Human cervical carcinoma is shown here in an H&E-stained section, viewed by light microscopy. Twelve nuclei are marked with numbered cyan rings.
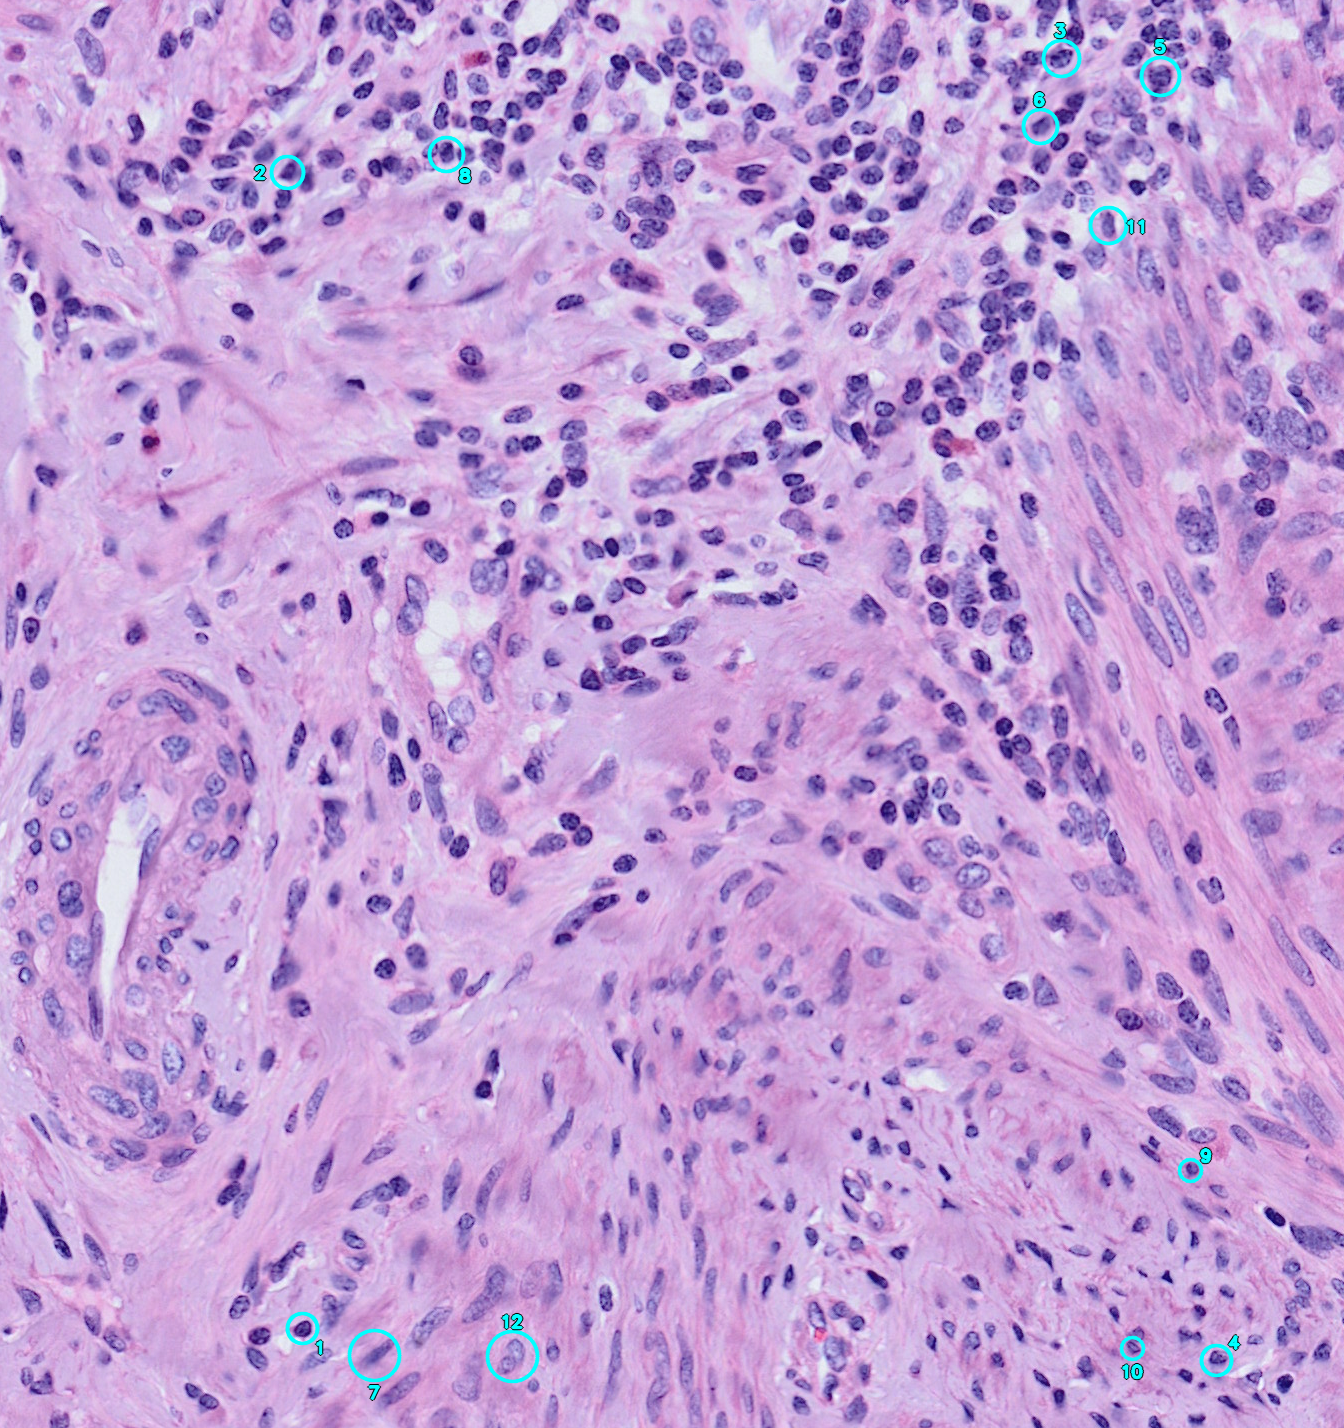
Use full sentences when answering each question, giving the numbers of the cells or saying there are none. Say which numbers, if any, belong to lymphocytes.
The cells that have numbers 1, 2, 3, 5, 6, 8 and 11 are lymphocytes.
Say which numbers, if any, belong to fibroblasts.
Cell number 4 alone is a fibroblast; the rest are not.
